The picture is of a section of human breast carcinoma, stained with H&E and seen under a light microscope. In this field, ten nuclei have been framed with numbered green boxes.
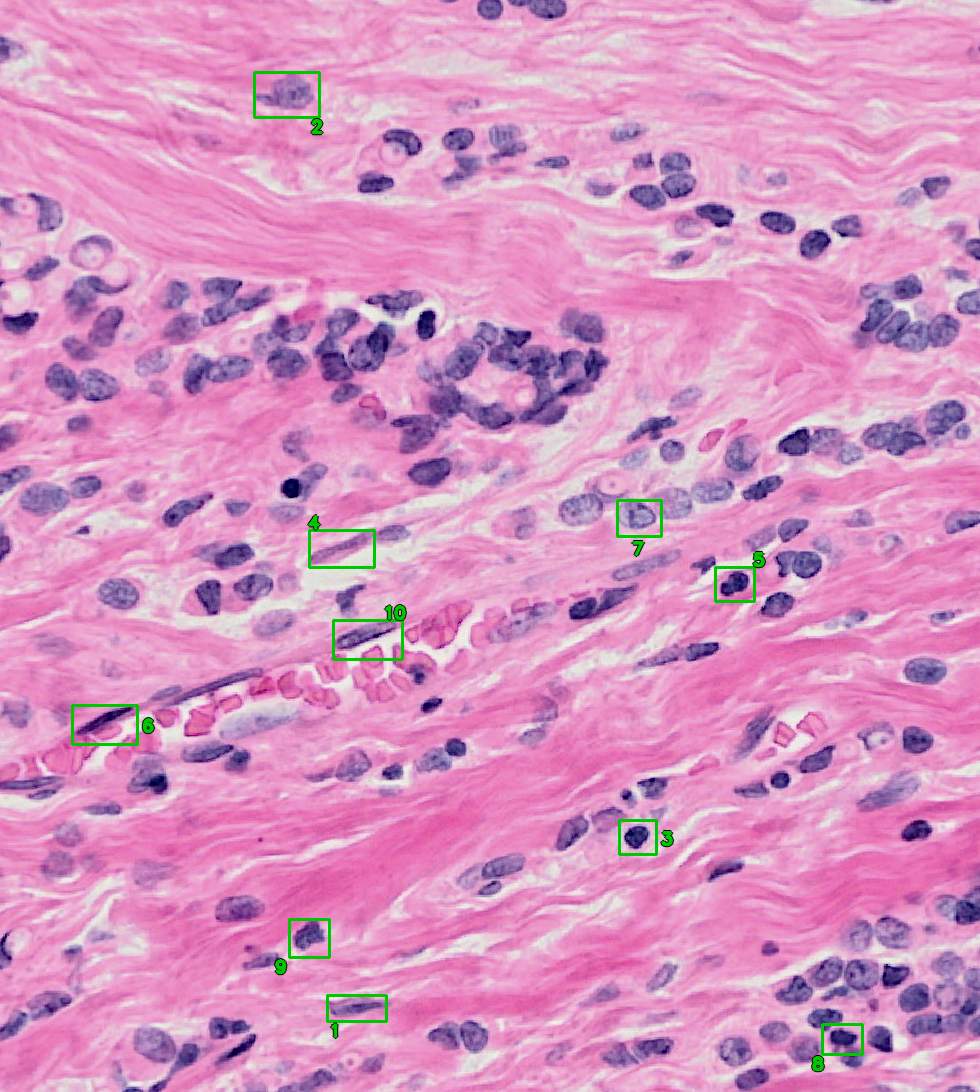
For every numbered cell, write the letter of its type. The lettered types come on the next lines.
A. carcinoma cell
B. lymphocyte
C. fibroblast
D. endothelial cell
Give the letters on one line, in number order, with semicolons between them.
C; C; B; C; B; D; A; B; B; D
